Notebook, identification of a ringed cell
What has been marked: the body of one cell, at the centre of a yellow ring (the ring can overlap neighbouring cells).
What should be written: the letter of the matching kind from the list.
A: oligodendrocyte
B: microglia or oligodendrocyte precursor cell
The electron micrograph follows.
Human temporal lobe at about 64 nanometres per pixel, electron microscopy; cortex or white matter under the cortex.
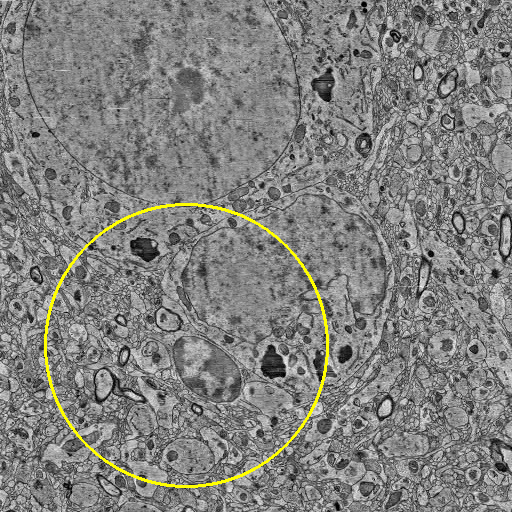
B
